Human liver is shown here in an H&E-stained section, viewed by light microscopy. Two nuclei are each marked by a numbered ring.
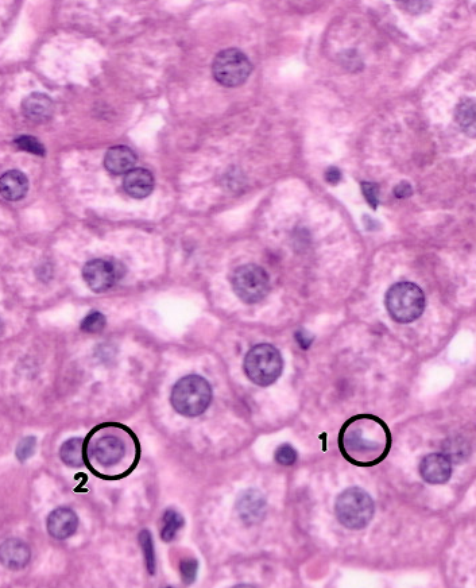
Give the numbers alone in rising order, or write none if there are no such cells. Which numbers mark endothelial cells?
1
